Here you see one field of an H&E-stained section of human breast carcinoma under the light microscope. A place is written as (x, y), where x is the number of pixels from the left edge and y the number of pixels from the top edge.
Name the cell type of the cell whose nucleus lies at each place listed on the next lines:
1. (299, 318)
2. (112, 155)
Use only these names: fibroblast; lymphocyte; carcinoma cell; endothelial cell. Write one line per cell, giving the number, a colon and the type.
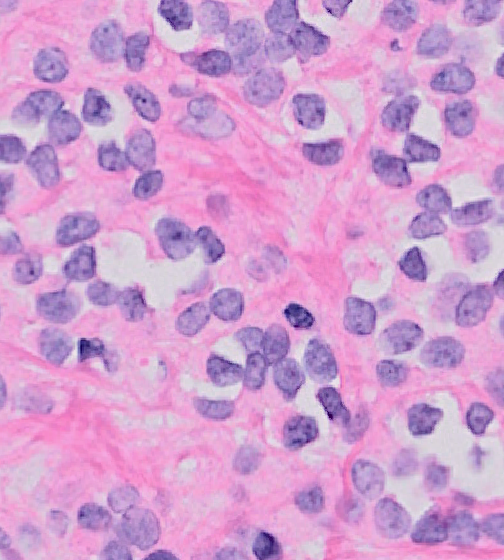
1: lymphocyte
2: carcinoma cell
